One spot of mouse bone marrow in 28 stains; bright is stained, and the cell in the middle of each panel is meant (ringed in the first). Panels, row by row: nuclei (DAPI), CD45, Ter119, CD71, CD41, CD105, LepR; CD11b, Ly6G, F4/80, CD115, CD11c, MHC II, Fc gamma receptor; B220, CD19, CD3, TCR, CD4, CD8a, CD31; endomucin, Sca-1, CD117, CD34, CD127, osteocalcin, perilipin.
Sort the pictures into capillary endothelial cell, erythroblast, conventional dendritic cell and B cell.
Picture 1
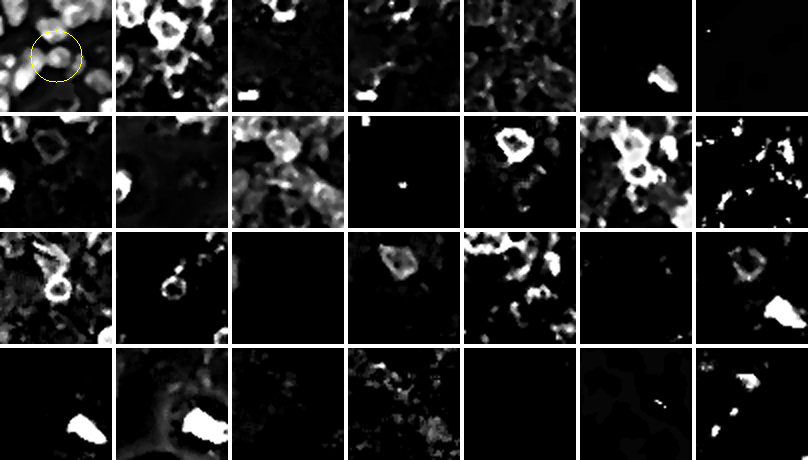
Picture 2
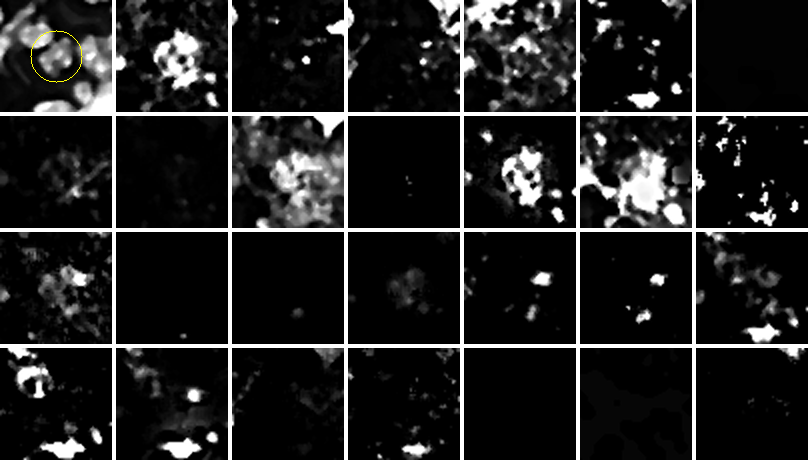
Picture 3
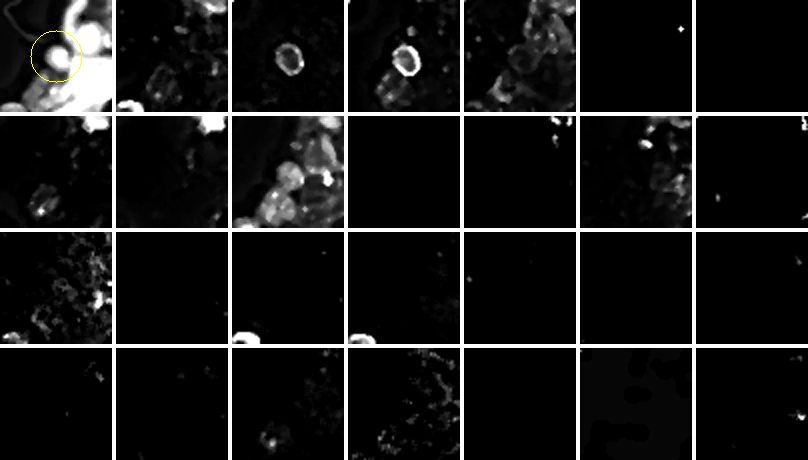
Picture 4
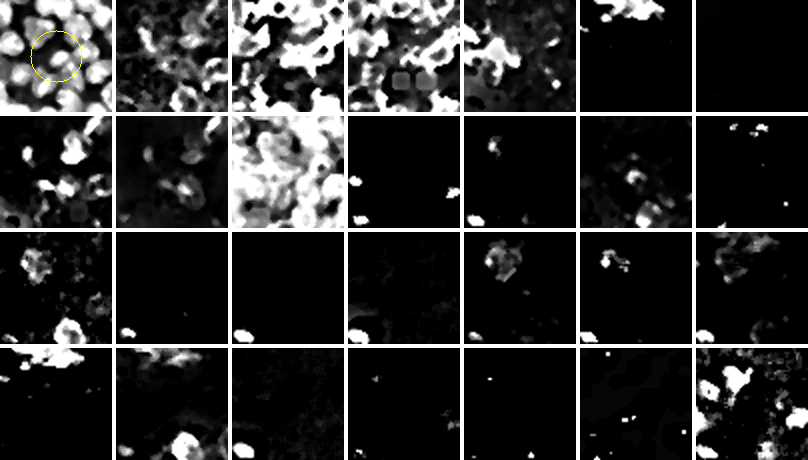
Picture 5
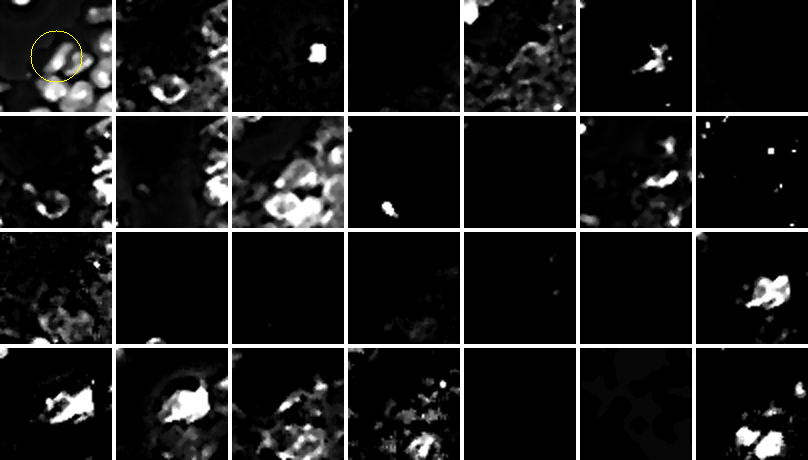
B cells: 1
Conventional dendritic cells: 2
Erythroblasts: 3, 4
Capillary endothelial cells: 5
